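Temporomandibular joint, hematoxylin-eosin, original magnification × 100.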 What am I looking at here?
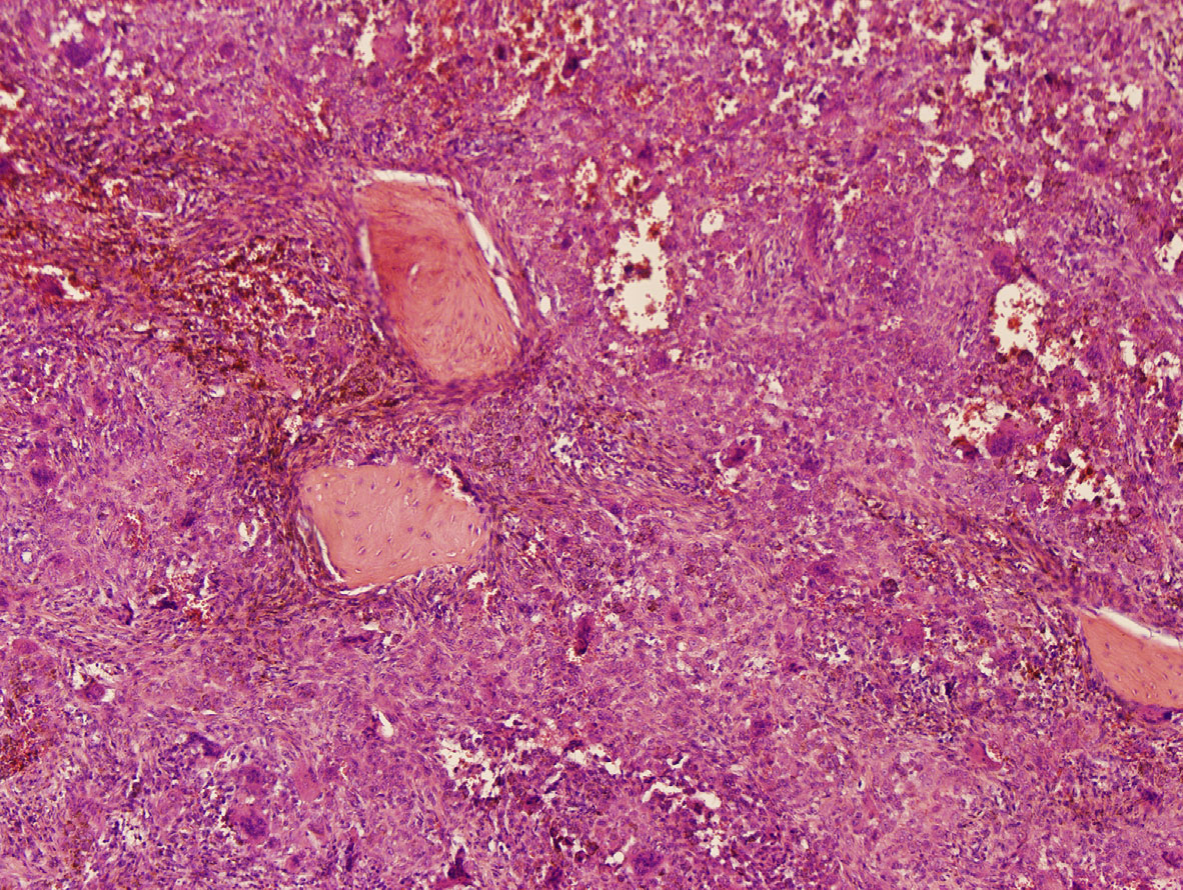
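This is a cellular lesion made up mostly of sheets of small mononuclear cells. Large multinucleated giant cells, resembling osteoclasts, are scattered unevenly among them and stand out as dark purple clusters of nuclei. Brown granular hemosiderin pigment is spread through the tissue, heaviest toward the upper left, and there are small spaces containing red cells. A few pale pink fragments of bone-like matrix are surrounded by a rim of spindle-shaped cells.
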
